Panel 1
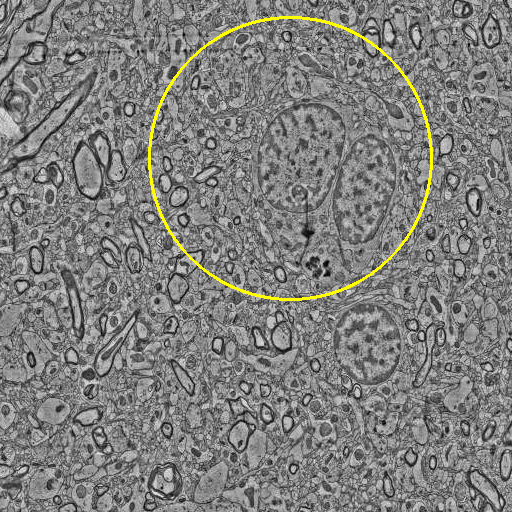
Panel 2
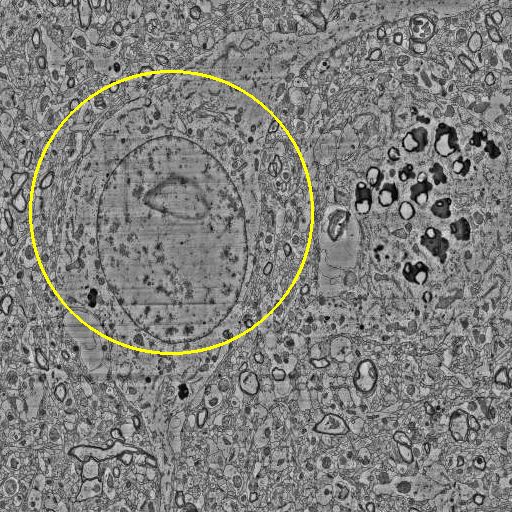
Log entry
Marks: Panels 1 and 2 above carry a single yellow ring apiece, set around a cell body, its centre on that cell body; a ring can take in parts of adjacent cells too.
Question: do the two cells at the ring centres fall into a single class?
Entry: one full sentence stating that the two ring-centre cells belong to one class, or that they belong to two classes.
The two ring-centre cells in Panels 1 and 2 belong to two classes.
